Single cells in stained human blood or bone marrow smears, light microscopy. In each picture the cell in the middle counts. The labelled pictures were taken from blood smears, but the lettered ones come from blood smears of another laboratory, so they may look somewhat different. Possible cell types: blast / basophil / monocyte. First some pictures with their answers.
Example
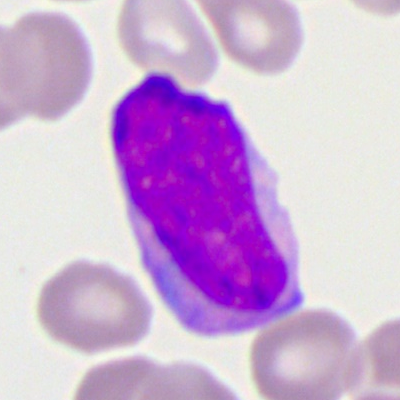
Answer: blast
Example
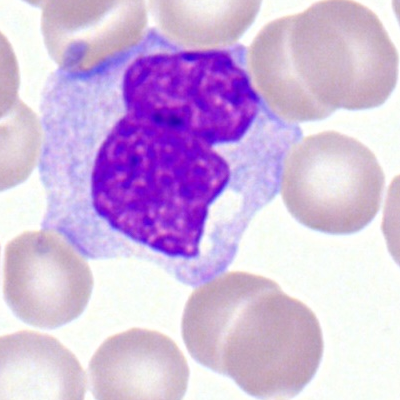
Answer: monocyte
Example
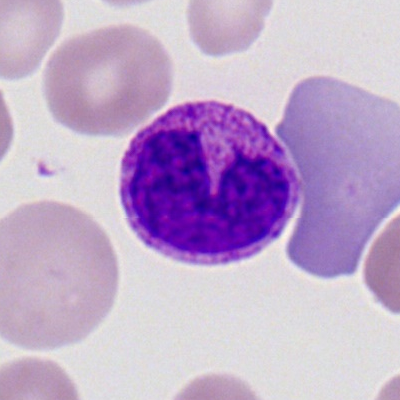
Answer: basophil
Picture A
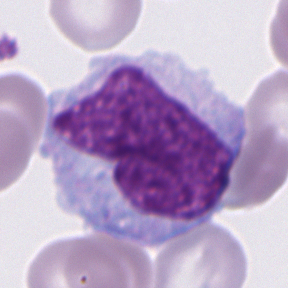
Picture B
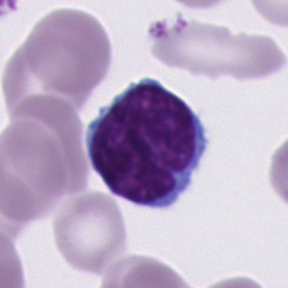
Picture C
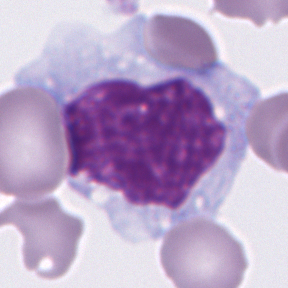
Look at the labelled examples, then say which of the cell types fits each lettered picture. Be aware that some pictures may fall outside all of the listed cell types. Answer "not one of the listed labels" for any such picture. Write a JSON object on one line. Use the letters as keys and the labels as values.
{"A": "monocyte", "B": "not one of the listed labels", "C": "monocyte"}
